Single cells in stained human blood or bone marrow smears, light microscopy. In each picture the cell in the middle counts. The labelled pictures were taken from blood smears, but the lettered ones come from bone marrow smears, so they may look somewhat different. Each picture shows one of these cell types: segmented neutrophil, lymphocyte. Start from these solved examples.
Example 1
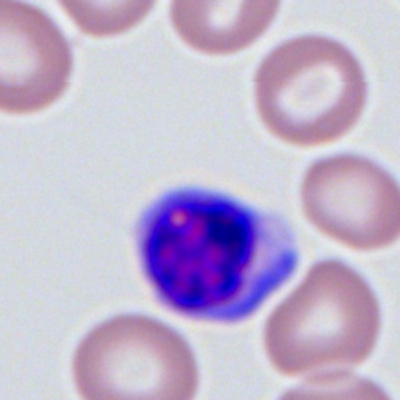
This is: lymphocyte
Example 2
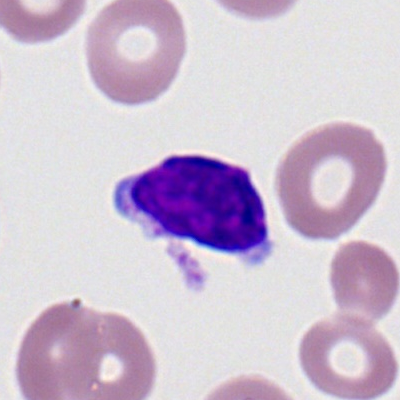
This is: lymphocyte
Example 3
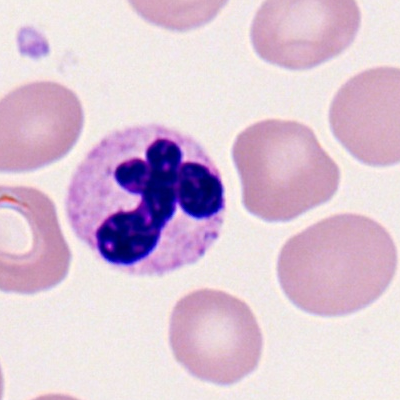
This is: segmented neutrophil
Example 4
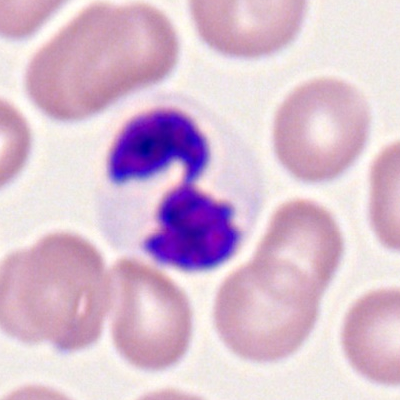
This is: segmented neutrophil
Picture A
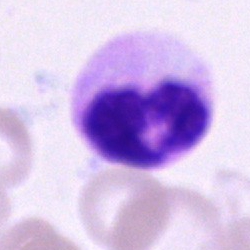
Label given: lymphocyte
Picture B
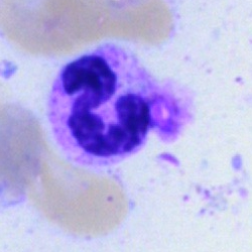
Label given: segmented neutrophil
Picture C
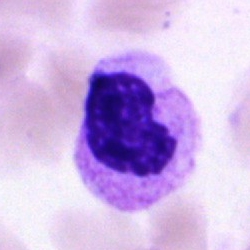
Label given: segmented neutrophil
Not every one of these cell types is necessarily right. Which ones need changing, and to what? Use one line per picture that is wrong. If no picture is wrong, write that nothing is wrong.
A: segmented neutrophil, not lymphocyte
